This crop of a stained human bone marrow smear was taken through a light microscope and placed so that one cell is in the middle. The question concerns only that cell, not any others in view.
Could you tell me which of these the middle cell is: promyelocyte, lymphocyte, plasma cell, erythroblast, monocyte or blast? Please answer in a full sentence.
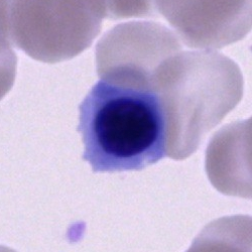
By classification, the middle cell of this crop is an erythroblast.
